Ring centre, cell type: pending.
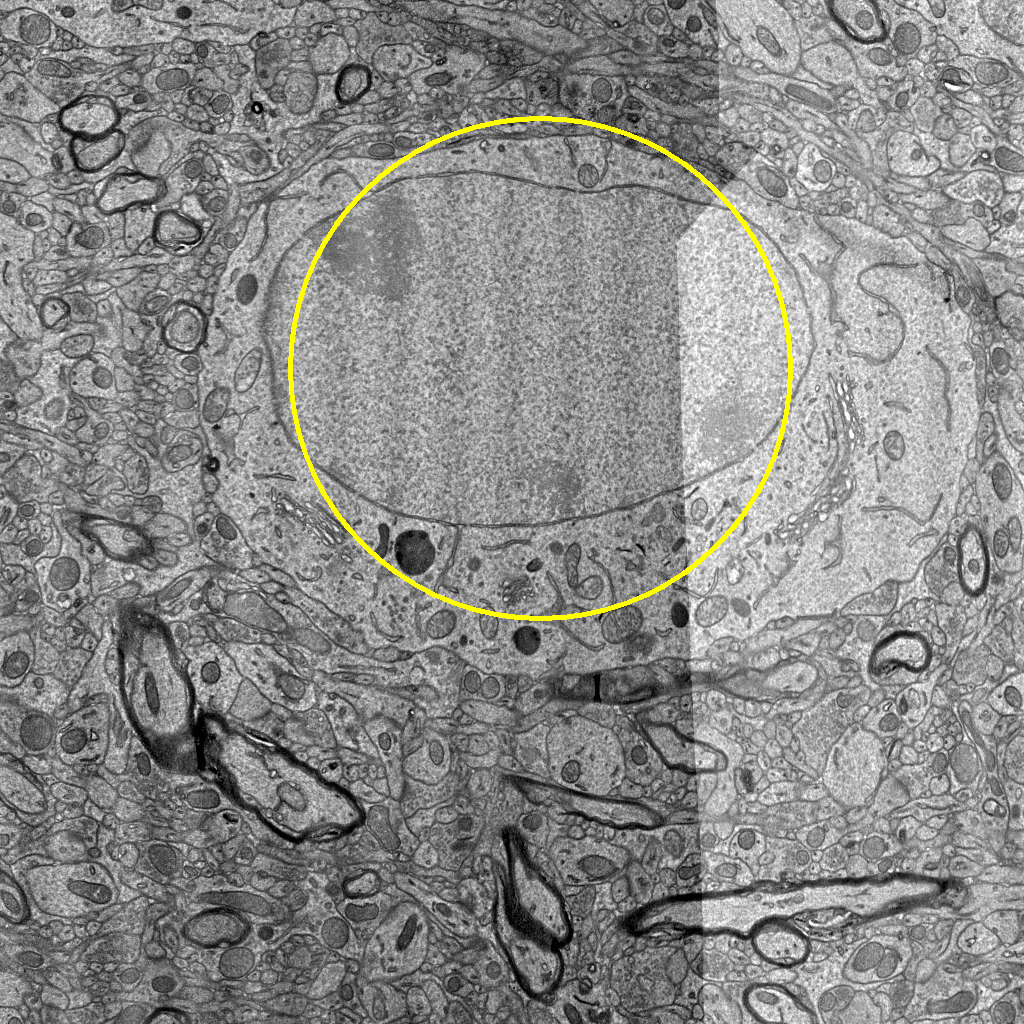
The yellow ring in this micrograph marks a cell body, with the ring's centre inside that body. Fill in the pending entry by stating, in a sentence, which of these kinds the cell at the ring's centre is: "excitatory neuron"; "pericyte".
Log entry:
The cell at the ring's centre is recorded as an excitatory neuron.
